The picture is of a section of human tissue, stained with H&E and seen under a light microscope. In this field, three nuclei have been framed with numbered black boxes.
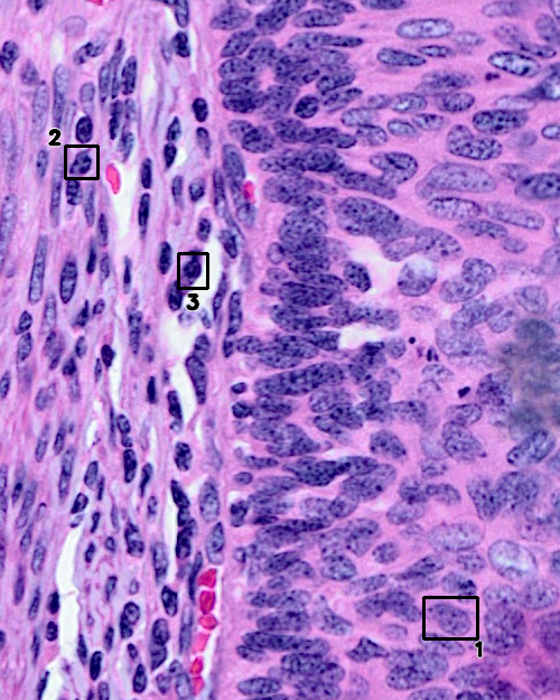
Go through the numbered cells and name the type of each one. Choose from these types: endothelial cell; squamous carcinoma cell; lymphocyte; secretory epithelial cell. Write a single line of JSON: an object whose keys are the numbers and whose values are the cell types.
{"1": "squamous carcinoma cell", "2": "lymphocyte", "3": "lymphocyte"}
